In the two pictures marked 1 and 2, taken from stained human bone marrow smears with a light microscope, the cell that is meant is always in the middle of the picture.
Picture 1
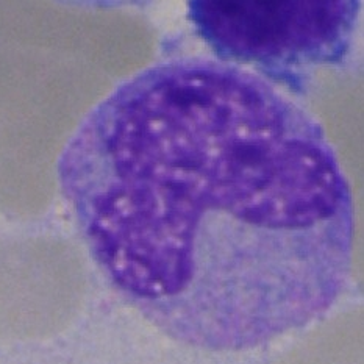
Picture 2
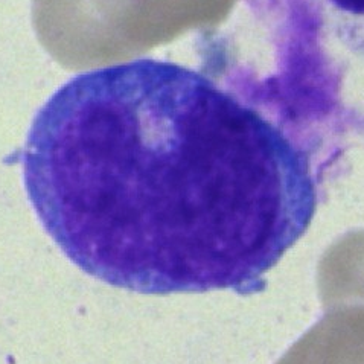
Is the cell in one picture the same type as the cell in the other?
yes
